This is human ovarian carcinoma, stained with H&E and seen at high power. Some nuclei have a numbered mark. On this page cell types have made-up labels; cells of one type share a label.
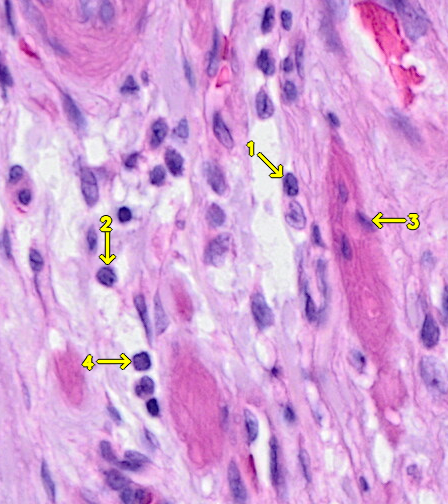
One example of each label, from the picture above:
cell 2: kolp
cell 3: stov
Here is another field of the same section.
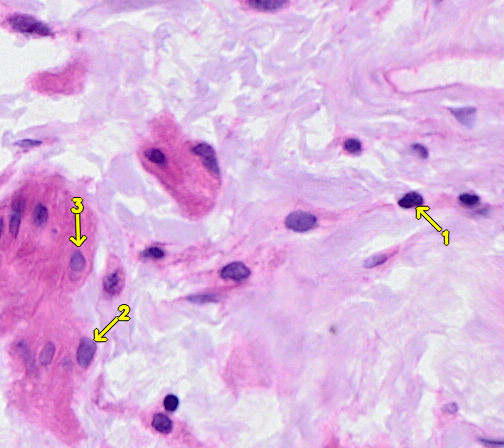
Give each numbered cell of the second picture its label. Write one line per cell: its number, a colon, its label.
1: kolp
2: stov
3: stov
